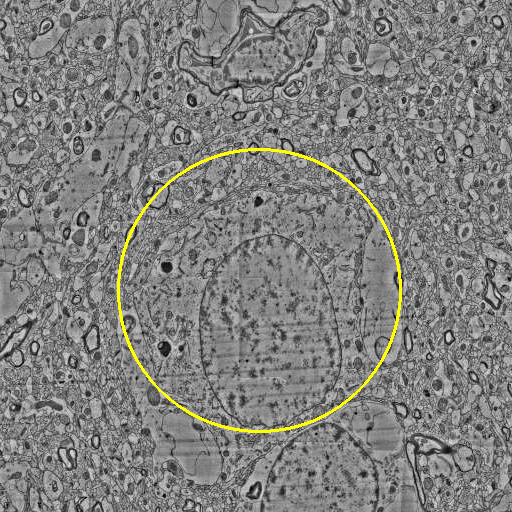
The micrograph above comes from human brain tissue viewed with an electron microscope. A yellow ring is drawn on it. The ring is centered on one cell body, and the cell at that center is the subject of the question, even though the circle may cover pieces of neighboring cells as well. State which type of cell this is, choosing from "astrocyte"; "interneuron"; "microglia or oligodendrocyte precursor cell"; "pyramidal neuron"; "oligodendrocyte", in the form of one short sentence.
The cell the ring is centered on is a pyramidal neuron.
